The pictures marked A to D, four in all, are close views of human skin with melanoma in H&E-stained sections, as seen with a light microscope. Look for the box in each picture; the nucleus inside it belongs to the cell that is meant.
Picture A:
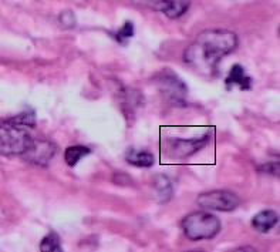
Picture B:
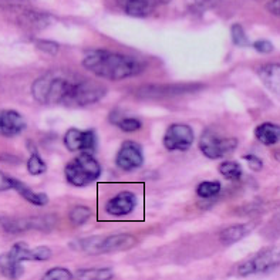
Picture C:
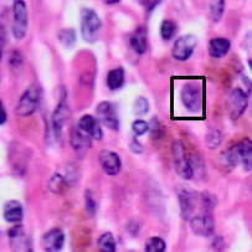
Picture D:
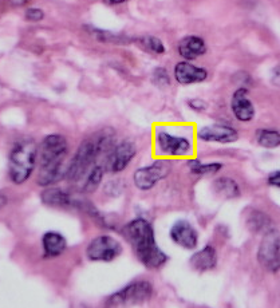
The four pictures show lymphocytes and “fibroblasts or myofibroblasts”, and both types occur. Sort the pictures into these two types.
A: fibroblast or myofibroblast
B: lymphocyte
C: lymphocyte
D: lymphocyte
